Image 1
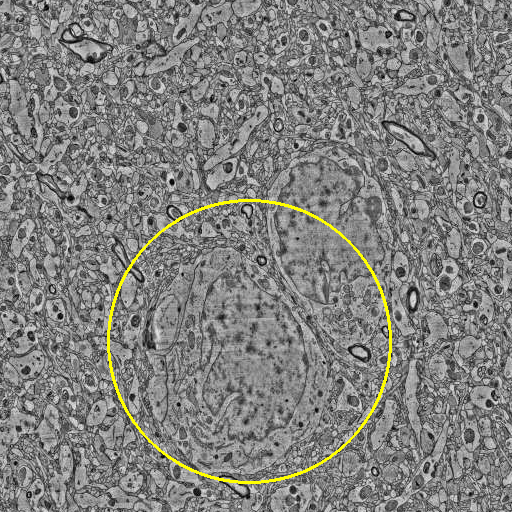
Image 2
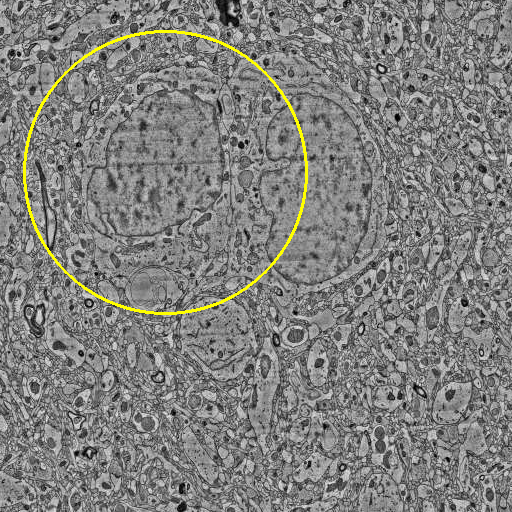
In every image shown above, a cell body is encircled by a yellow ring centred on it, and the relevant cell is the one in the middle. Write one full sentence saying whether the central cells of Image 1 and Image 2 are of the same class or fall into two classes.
The cell at the ring's centre in Image 1 and its counterpart in Image 2 are of the same class.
